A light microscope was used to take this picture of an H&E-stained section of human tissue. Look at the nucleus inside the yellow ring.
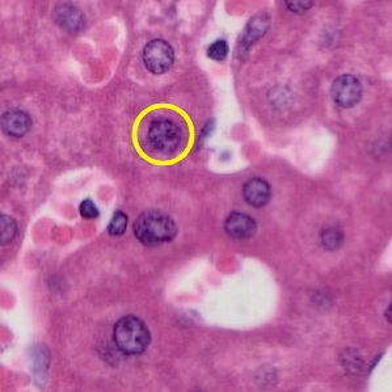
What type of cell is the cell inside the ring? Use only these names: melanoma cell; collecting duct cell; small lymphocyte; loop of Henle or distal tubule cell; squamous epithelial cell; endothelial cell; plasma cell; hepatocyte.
hepatocyte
